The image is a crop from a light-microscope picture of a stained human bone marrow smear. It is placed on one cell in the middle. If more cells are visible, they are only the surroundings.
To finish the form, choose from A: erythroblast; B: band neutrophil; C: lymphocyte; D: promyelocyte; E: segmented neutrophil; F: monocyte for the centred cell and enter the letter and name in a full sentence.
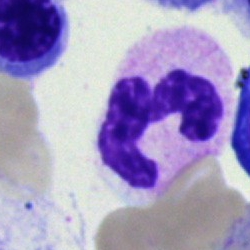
The right choice is option E: the cell in the middle is a segmented neutrophil.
